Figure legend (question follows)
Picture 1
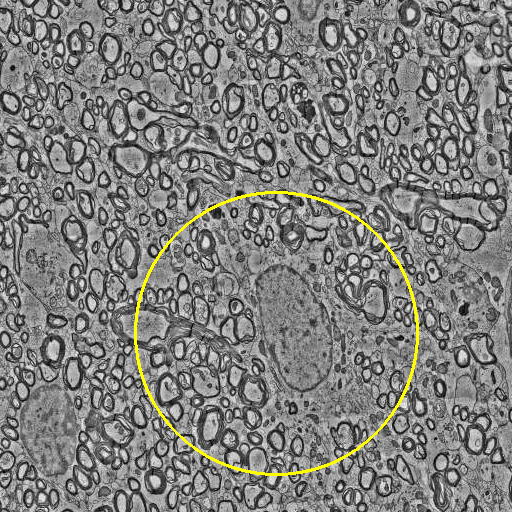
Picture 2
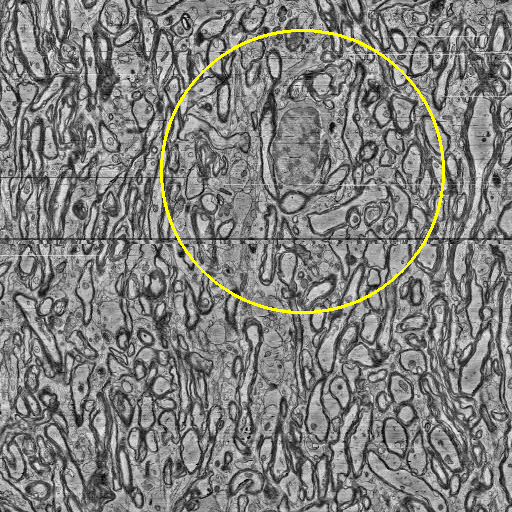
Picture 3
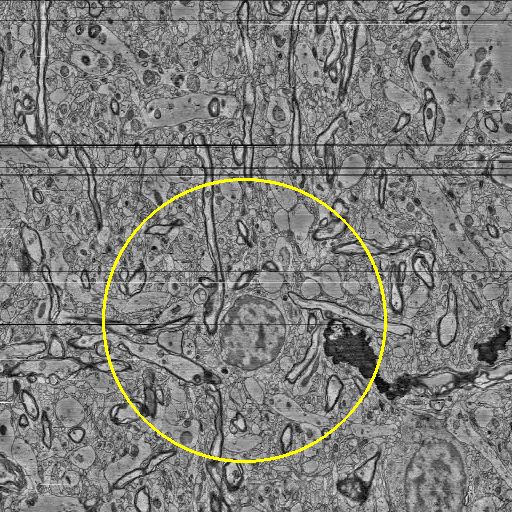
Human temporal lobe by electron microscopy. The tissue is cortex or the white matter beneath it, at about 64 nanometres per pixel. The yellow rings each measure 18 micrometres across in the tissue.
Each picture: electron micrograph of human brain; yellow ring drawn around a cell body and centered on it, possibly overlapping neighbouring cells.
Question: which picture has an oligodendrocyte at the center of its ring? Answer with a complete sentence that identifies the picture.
Picture 2 has it at the center of its ring.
